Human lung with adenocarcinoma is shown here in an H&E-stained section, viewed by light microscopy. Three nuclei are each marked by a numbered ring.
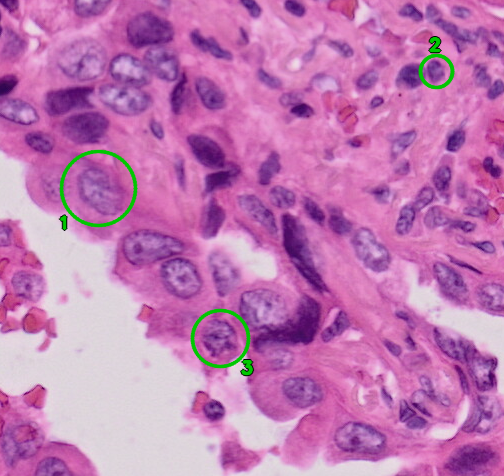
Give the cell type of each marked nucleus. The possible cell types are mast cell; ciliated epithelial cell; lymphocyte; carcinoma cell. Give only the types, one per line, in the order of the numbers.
carcinoma cell
lymphocyte
carcinoma cell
